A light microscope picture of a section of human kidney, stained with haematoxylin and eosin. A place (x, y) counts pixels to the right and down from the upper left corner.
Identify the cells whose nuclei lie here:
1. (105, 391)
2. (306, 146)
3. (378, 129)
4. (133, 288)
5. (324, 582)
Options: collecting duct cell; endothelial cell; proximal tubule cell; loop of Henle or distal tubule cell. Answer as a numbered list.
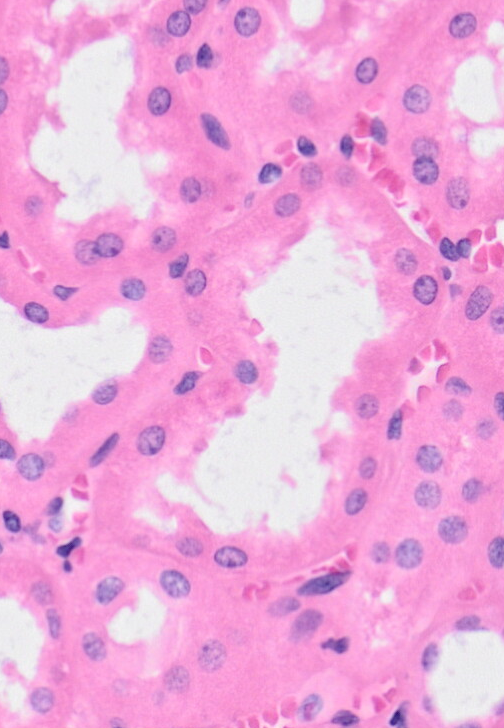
1. loop of Henle or distal tubule cell
2. endothelial cell
3. endothelial cell
4. loop of Henle or distal tubule cell
5. endothelial cell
